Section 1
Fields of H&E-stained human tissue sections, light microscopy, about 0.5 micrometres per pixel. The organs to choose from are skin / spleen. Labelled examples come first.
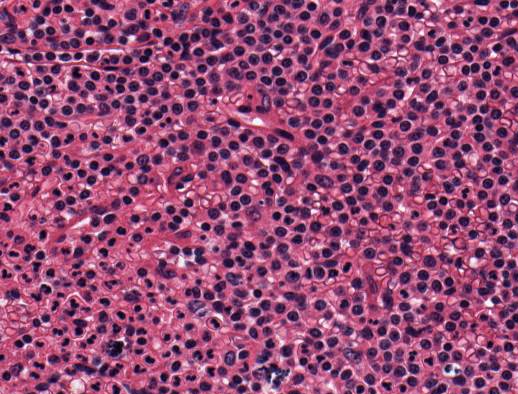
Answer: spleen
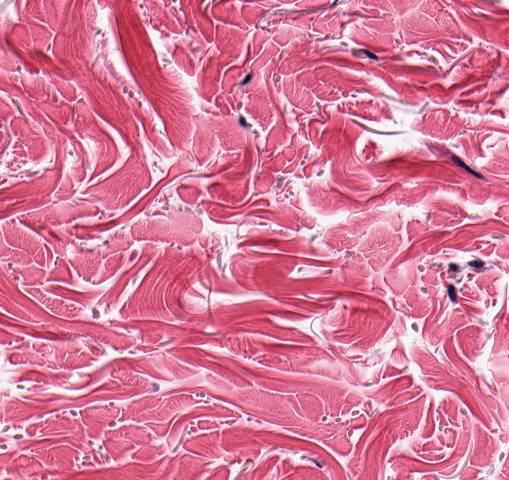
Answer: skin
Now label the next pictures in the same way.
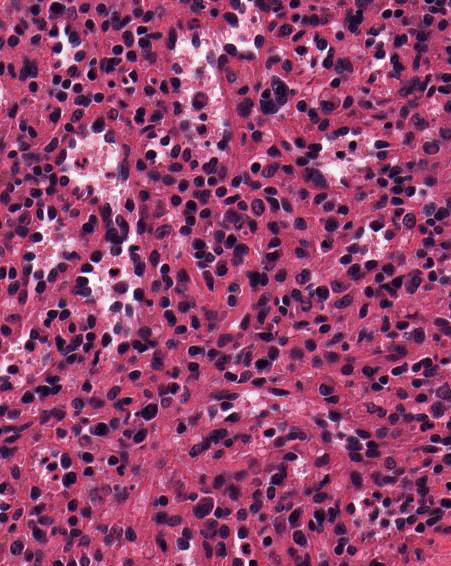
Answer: spleen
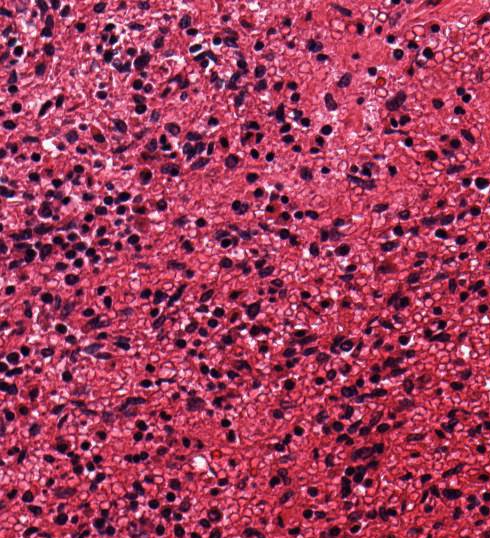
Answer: spleen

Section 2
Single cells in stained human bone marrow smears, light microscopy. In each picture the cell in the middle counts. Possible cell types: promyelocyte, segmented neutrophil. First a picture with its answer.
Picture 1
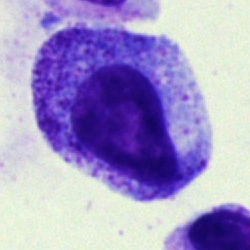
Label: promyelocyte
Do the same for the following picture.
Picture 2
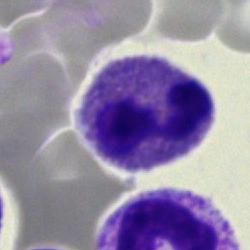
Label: segmented neutrophil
